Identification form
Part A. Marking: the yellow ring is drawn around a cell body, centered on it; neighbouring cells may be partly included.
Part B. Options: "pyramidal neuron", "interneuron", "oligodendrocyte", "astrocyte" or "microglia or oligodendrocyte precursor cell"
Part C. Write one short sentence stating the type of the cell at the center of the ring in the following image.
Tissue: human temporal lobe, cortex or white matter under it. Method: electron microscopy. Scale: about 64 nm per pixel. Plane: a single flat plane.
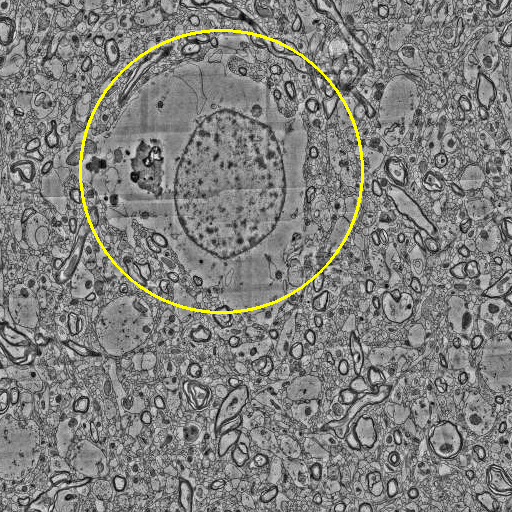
The center of the ring holds an astrocyte.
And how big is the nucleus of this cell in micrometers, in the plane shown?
The ringed cell's nucleus is about 9 micrometres long and 7 micrometres wide in this plane.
